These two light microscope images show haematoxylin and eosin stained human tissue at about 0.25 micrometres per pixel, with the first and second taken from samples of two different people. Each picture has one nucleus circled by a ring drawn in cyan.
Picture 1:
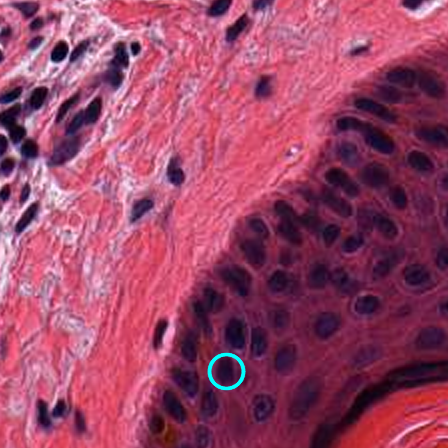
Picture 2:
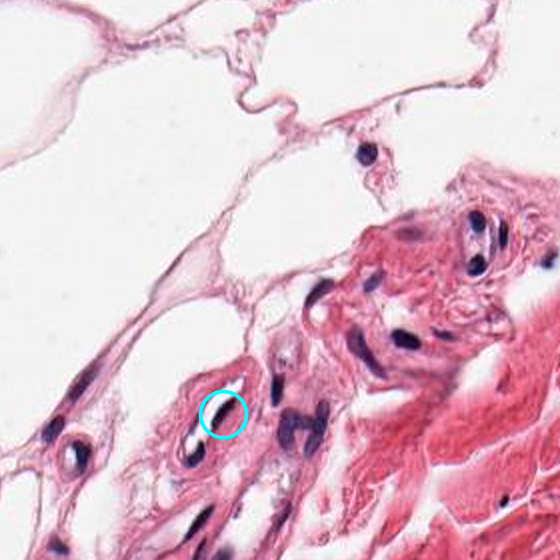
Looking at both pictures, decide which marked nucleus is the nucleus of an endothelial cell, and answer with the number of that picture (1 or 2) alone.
2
